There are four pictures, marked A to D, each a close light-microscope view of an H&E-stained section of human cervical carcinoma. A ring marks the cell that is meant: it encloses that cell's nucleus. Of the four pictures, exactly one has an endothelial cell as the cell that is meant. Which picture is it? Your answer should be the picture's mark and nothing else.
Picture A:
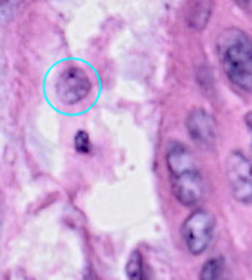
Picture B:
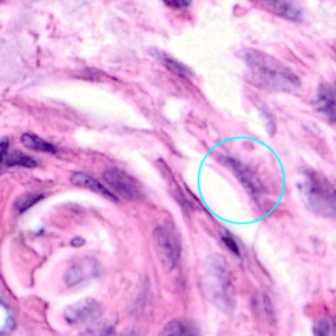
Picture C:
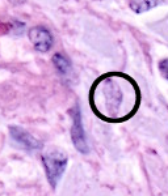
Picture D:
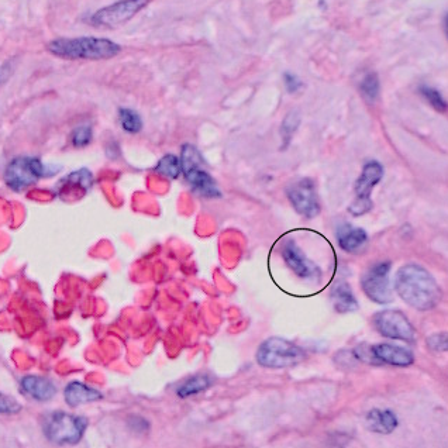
D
